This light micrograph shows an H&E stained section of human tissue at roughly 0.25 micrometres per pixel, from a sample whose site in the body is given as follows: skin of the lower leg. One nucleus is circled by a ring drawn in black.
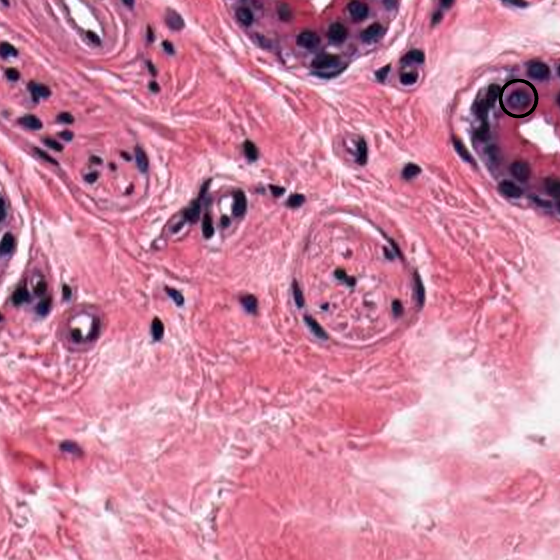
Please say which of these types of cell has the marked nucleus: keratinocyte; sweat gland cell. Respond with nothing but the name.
sweat gland cell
